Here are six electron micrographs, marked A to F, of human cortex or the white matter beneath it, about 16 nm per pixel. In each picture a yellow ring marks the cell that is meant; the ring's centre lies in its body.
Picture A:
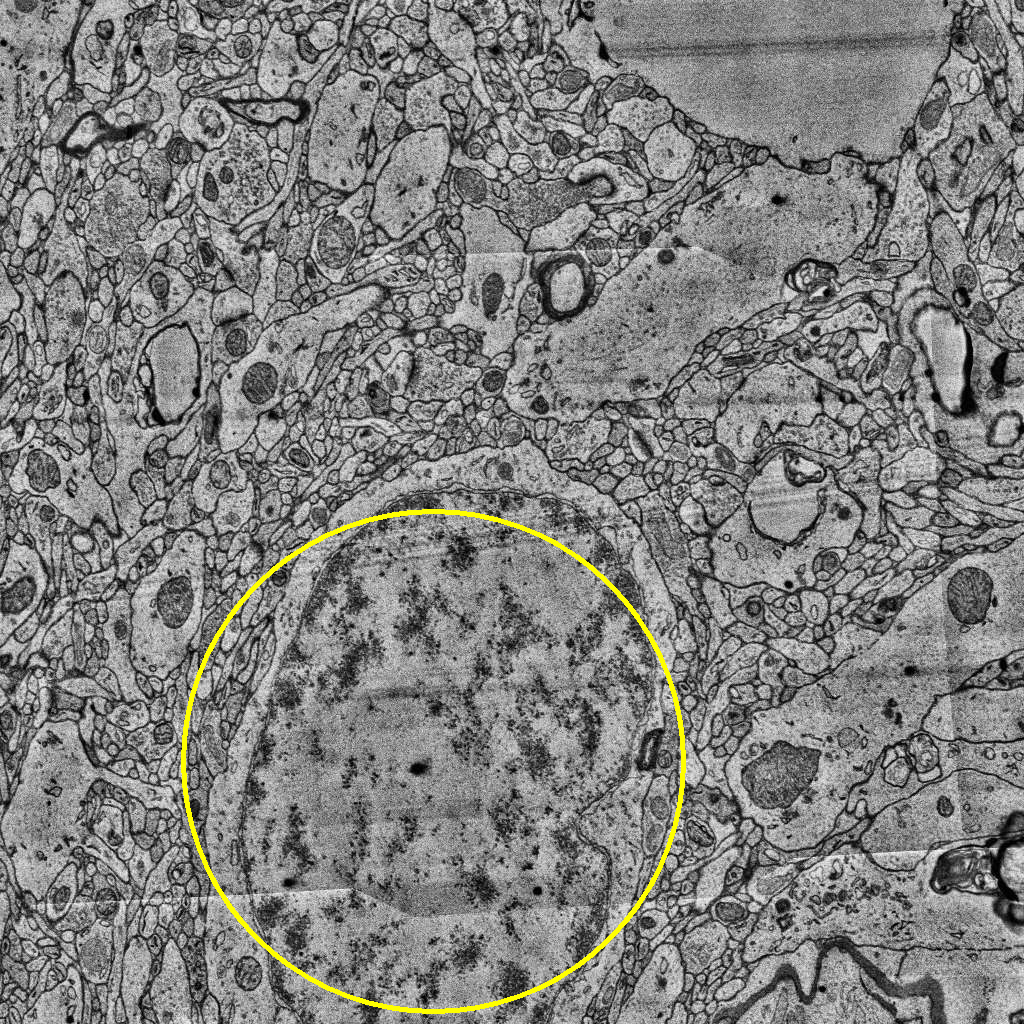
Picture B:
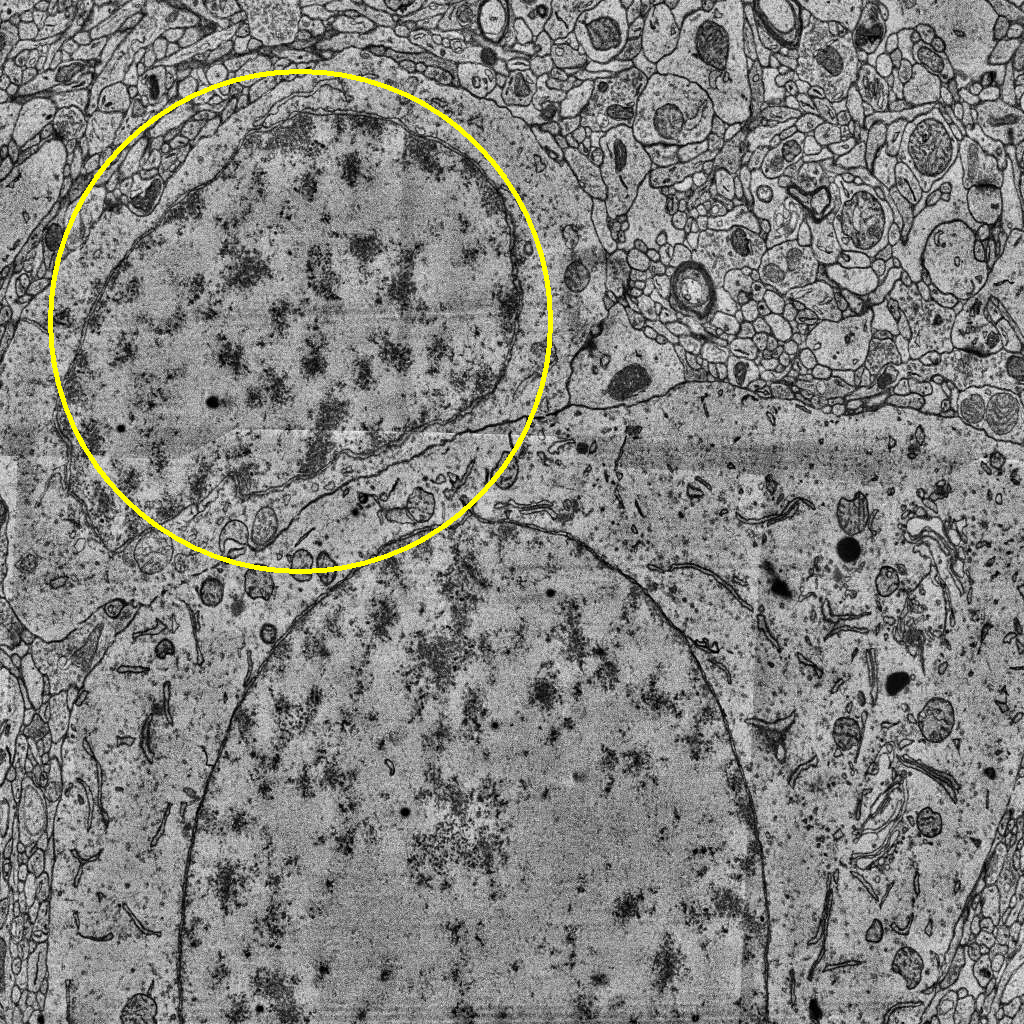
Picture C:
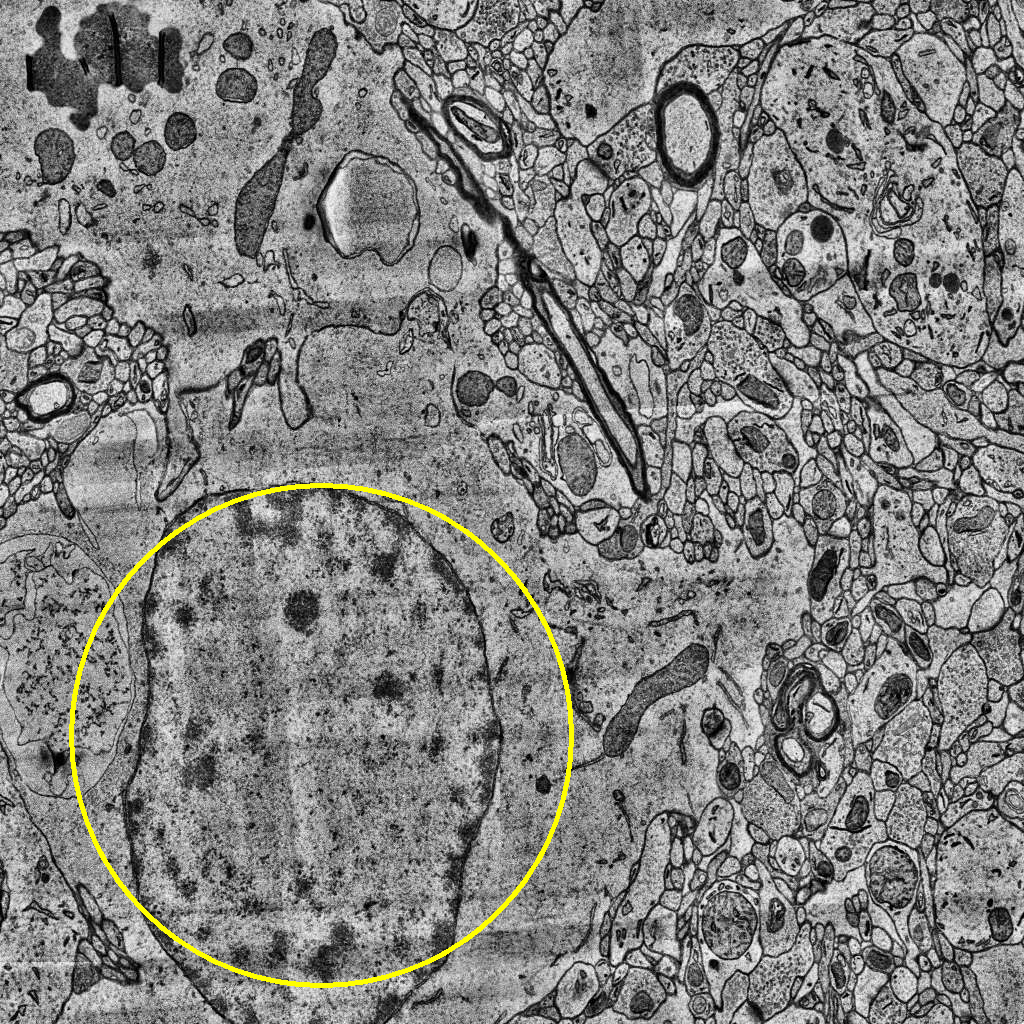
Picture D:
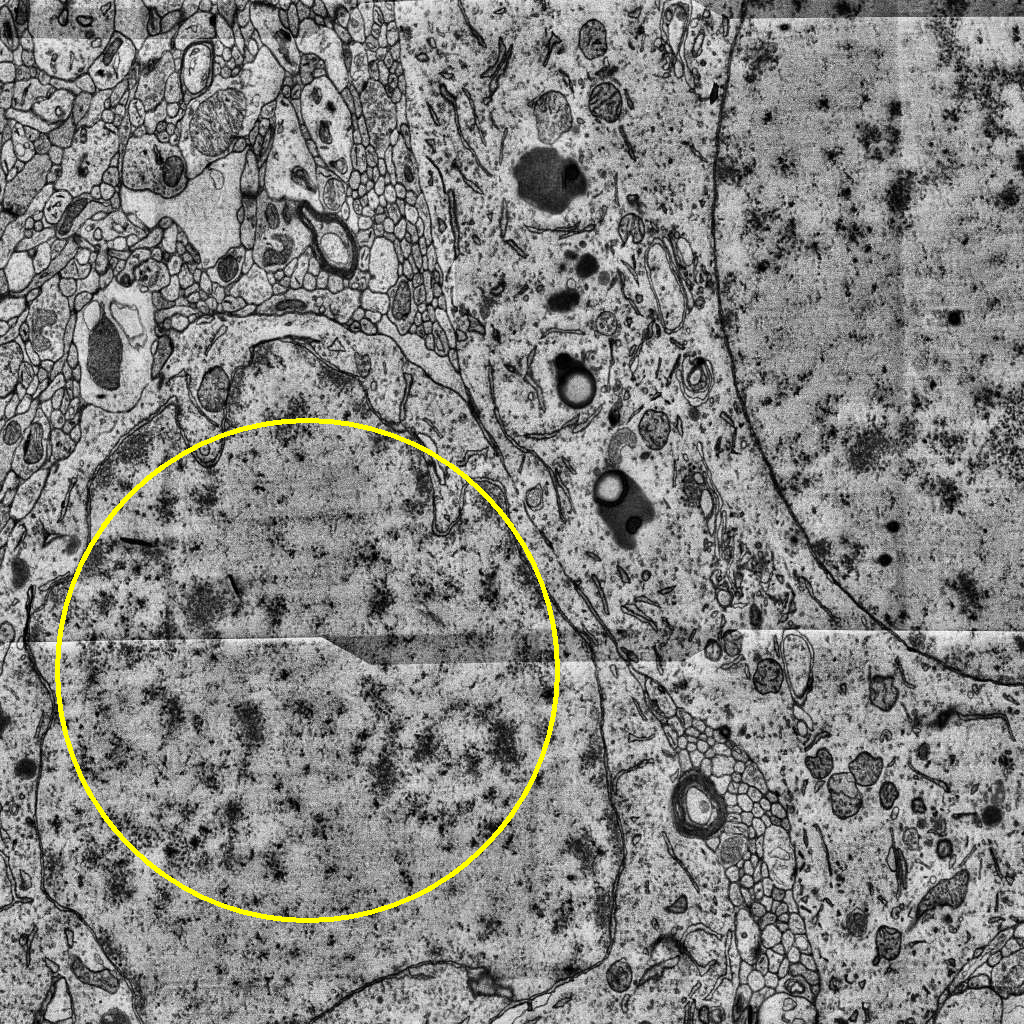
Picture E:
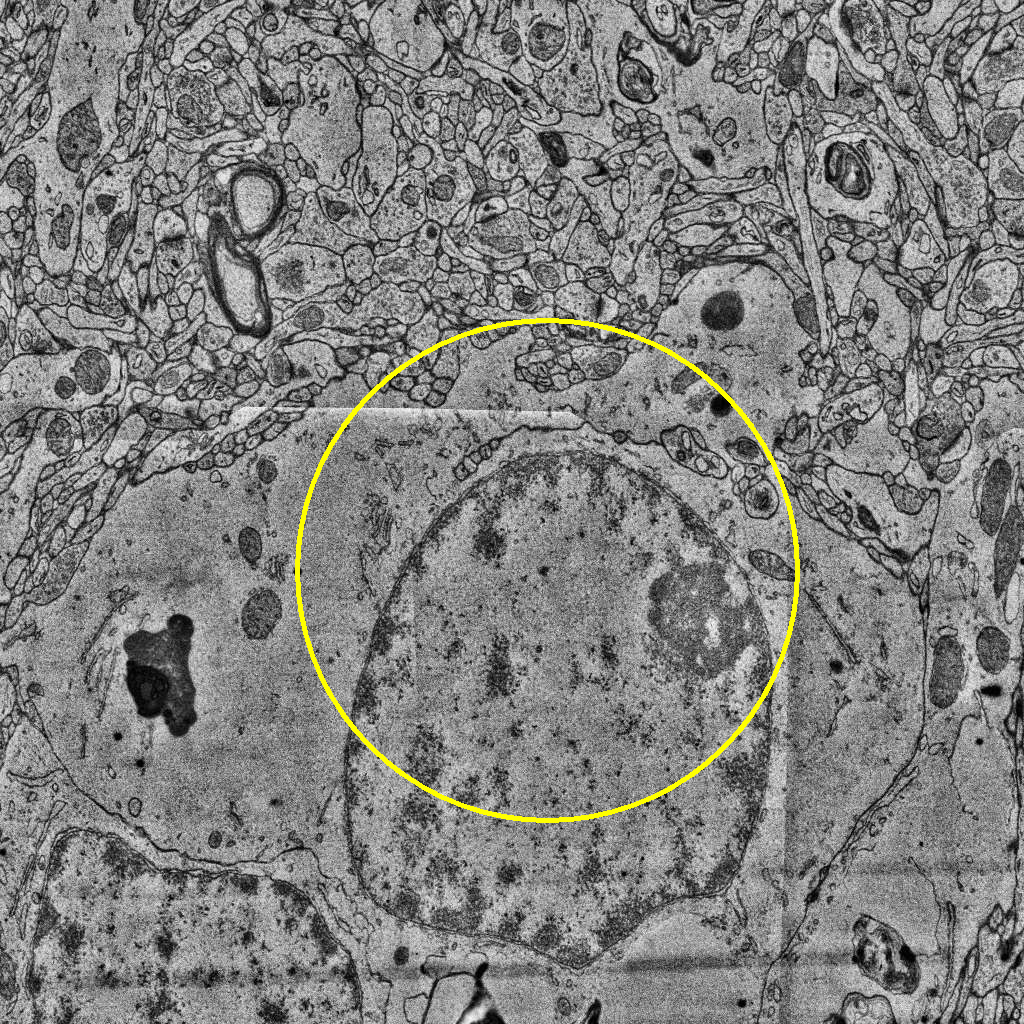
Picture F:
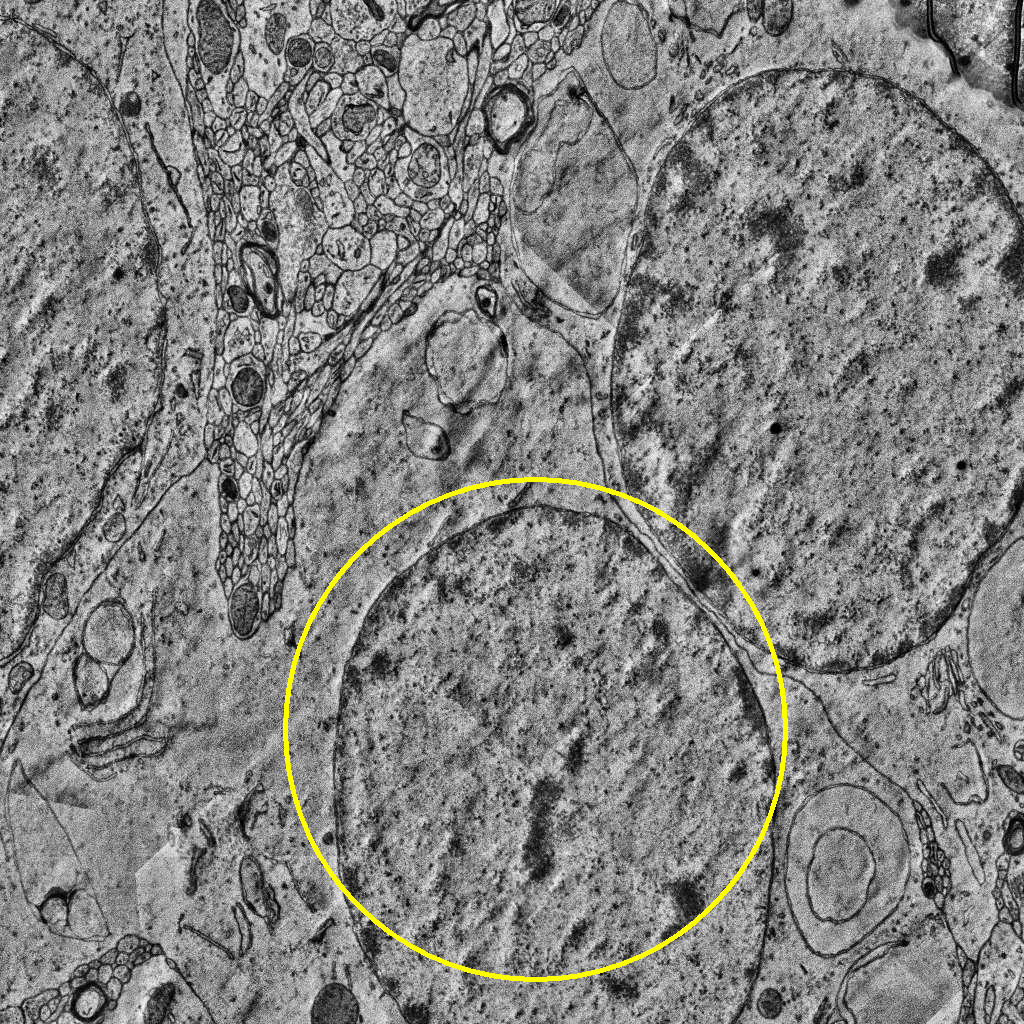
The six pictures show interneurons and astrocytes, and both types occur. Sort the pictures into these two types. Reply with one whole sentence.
Pictures A, B and D show interneurons, and pictures C, E and F show astrocytes.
